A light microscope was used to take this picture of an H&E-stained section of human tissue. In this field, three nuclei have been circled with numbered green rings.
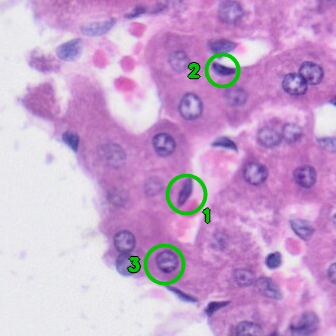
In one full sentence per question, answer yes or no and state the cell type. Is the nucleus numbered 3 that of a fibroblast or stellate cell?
No, the cell referred to as 3 is a hepatocyte, not a fibroblast or stellate cell.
